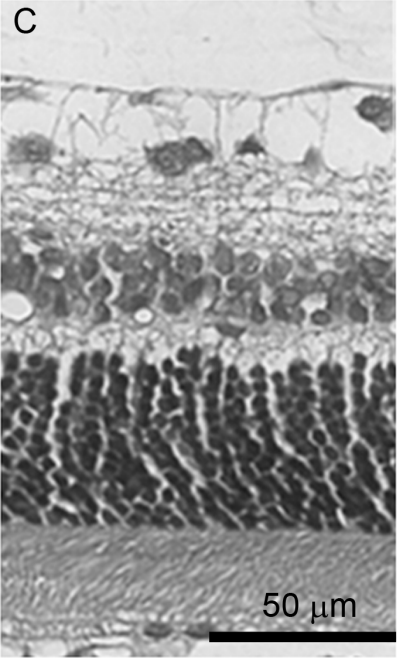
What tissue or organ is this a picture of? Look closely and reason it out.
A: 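Stacked layers: a sparse row of large rounded cells on top, a pale fibrillar band, a band of several rows of nuclei, a thick band of densely packed dark nuclei. A striated layer of slender parallel elements lies at the bottom. So: retinas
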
